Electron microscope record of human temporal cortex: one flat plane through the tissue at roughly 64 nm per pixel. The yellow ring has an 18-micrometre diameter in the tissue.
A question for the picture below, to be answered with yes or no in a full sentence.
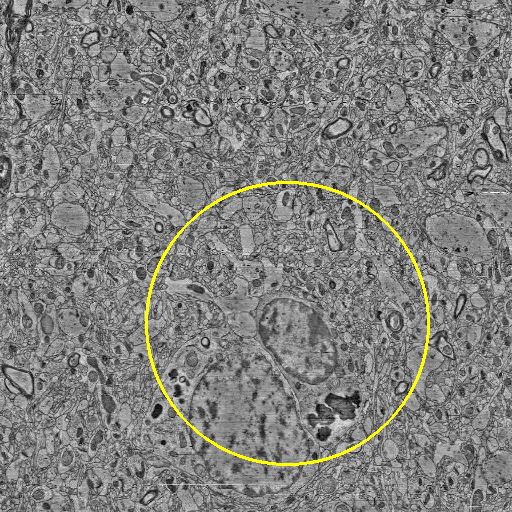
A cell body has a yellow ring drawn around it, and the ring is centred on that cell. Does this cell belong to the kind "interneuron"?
No, the pictured cell at the ring's centre belongs to another kind.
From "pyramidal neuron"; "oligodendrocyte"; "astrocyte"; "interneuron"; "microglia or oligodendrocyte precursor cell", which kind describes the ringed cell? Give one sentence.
It is an oligodendrocyte at the centre of the ring.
